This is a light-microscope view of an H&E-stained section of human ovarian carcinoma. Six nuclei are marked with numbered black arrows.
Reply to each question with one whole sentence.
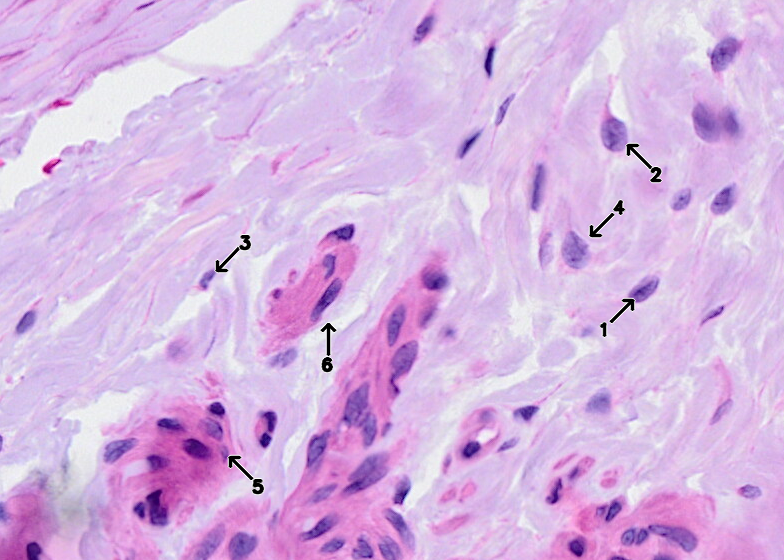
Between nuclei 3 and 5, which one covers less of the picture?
It is nucleus 5; nucleus 3 has about 1.5 times its area.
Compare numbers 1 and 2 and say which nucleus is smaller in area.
Number 1 is smaller, since number 2 takes up about 2.5 times as much area.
